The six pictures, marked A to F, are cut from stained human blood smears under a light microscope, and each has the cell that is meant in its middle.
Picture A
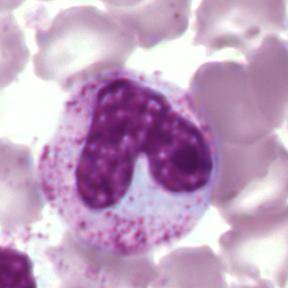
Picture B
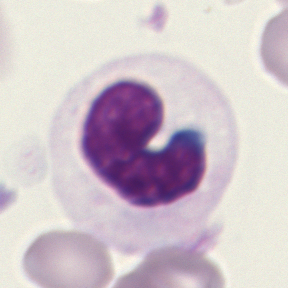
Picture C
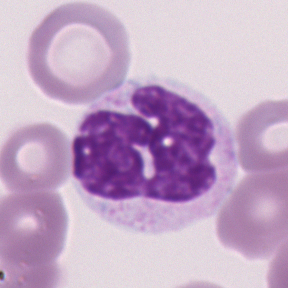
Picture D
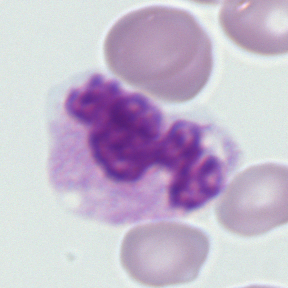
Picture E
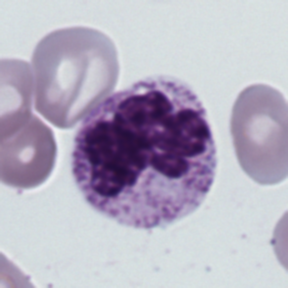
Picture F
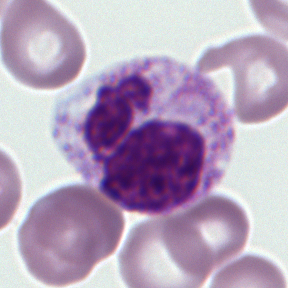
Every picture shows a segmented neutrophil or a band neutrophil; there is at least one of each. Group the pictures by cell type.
A: band neutrophil
B: band neutrophil
C: segmented neutrophil
D: segmented neutrophil
E: segmented neutrophil
F: segmented neutrophil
